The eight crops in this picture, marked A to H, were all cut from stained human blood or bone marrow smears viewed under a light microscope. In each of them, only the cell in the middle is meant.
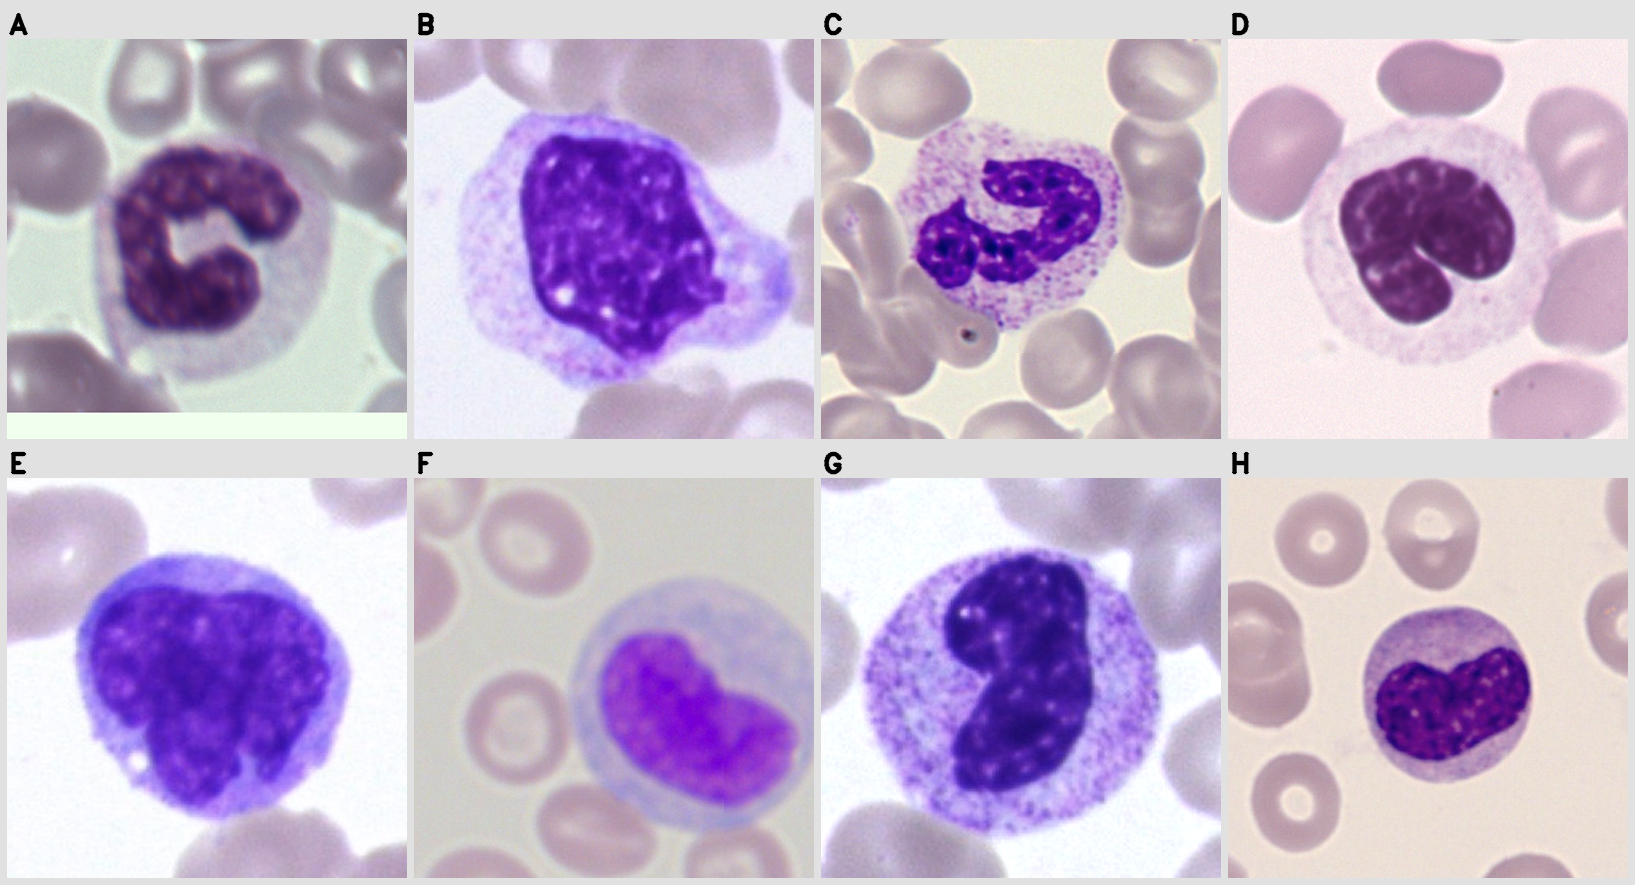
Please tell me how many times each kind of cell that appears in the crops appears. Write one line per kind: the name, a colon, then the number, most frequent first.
band neutrophil: 5
monocyte: 3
